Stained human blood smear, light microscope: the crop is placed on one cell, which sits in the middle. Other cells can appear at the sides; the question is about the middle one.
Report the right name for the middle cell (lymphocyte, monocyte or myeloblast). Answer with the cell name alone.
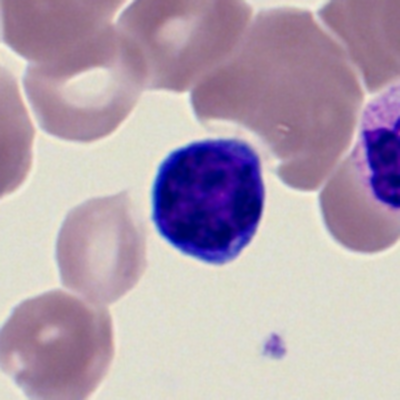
lymphocyte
